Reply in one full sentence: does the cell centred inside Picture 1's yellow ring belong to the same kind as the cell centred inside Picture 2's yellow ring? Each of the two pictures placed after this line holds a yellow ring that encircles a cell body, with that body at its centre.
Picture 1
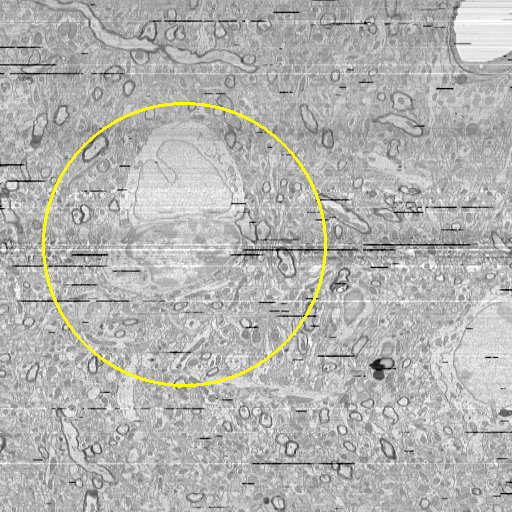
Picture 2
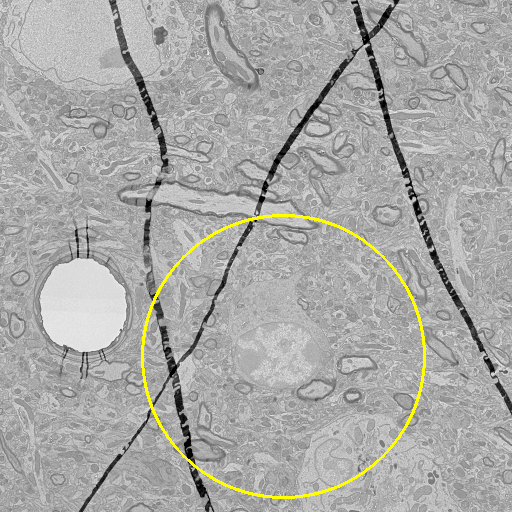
Yes, the ring-centred cells in Picture 1 and Picture 2 are of one and the same kind.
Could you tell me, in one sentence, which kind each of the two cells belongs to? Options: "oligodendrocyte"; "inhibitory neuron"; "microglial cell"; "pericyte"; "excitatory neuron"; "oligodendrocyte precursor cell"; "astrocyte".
The first and the second cell are each an oligodendrocyte.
